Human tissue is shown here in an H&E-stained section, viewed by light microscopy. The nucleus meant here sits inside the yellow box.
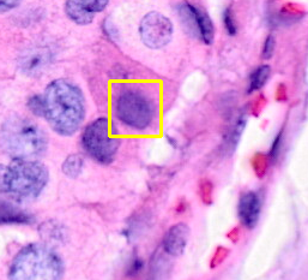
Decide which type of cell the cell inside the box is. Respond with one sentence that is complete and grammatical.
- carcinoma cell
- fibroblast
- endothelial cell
In the tissue at hand, the cell inside the box is a carcinoma cell.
